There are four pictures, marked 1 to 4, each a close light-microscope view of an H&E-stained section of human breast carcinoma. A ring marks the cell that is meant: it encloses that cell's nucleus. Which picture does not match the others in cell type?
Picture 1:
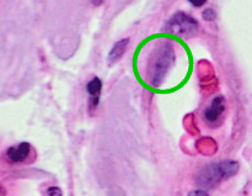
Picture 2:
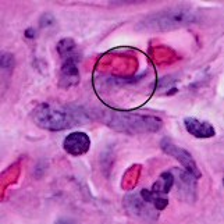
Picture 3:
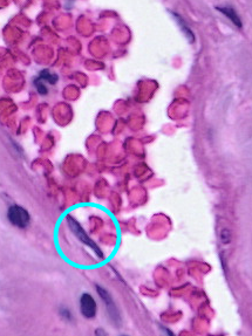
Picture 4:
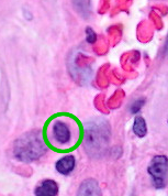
4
